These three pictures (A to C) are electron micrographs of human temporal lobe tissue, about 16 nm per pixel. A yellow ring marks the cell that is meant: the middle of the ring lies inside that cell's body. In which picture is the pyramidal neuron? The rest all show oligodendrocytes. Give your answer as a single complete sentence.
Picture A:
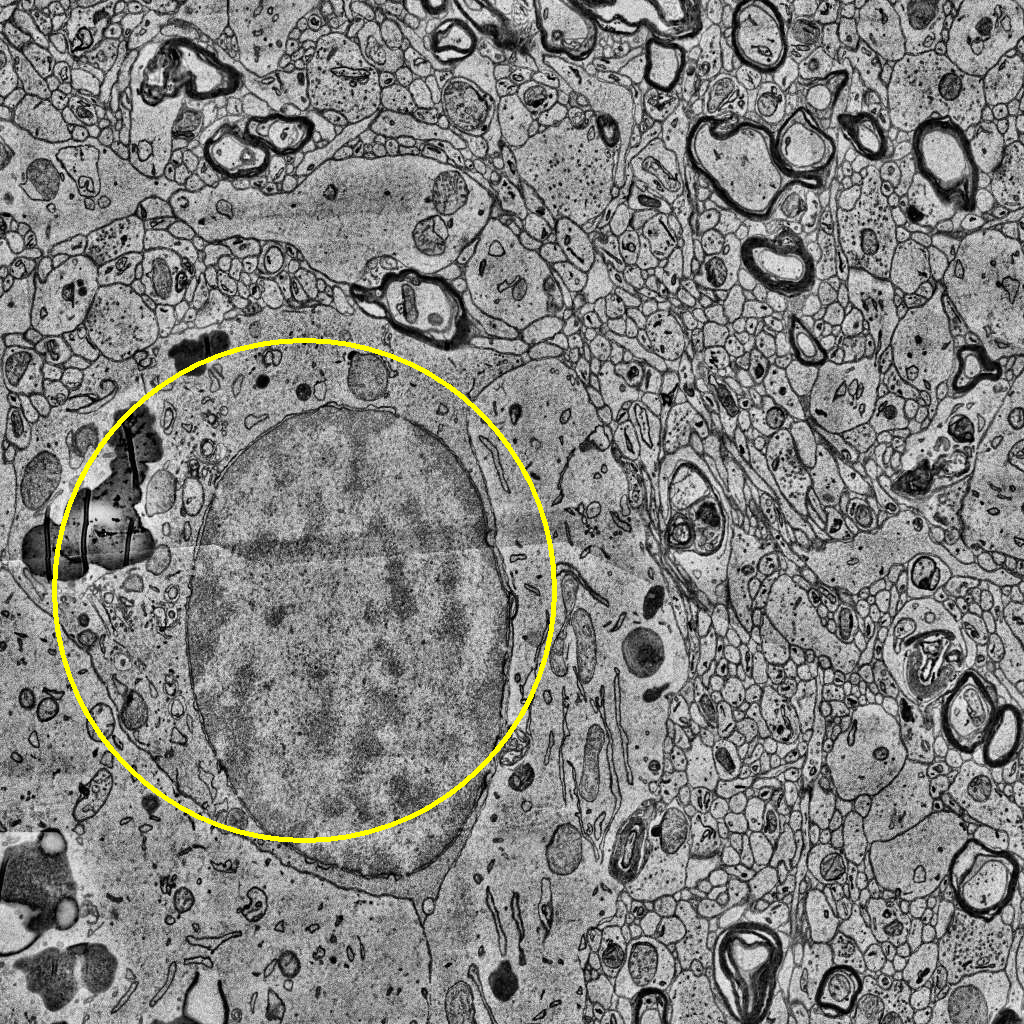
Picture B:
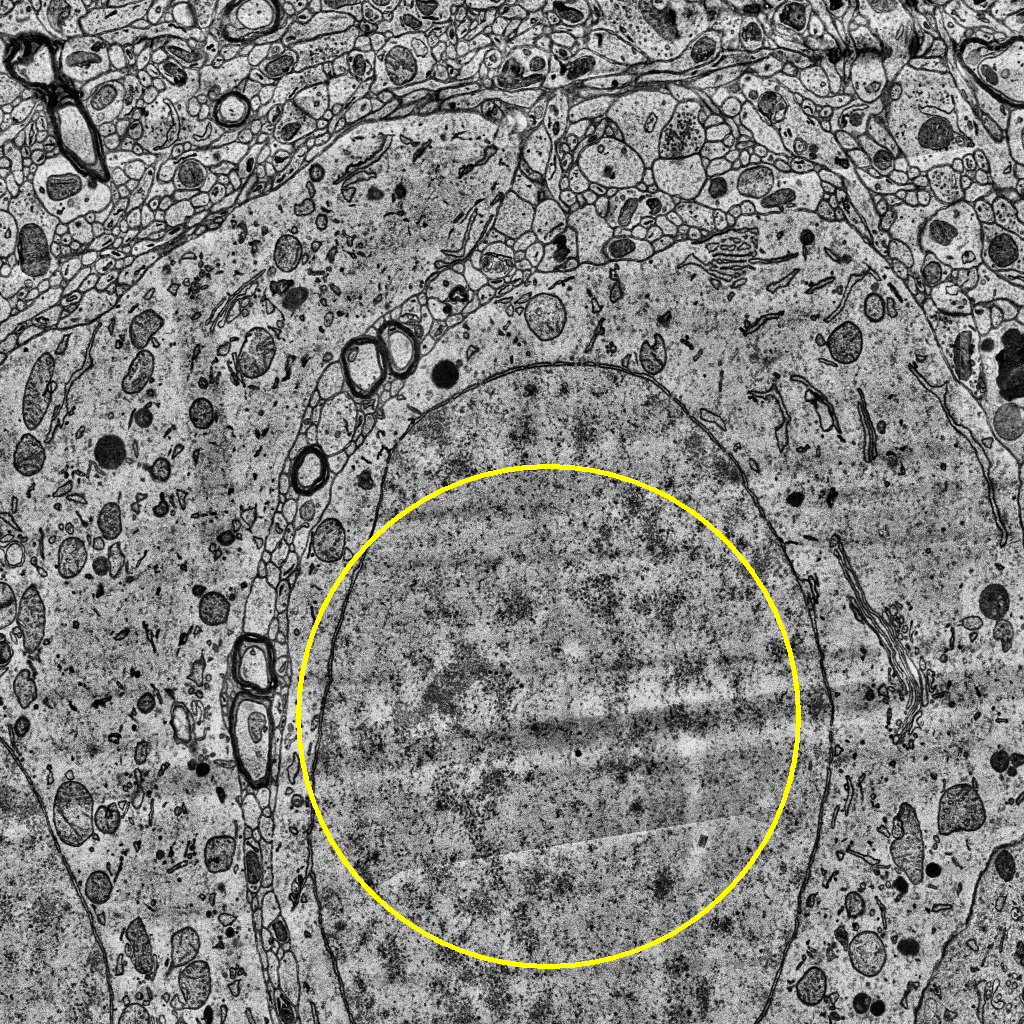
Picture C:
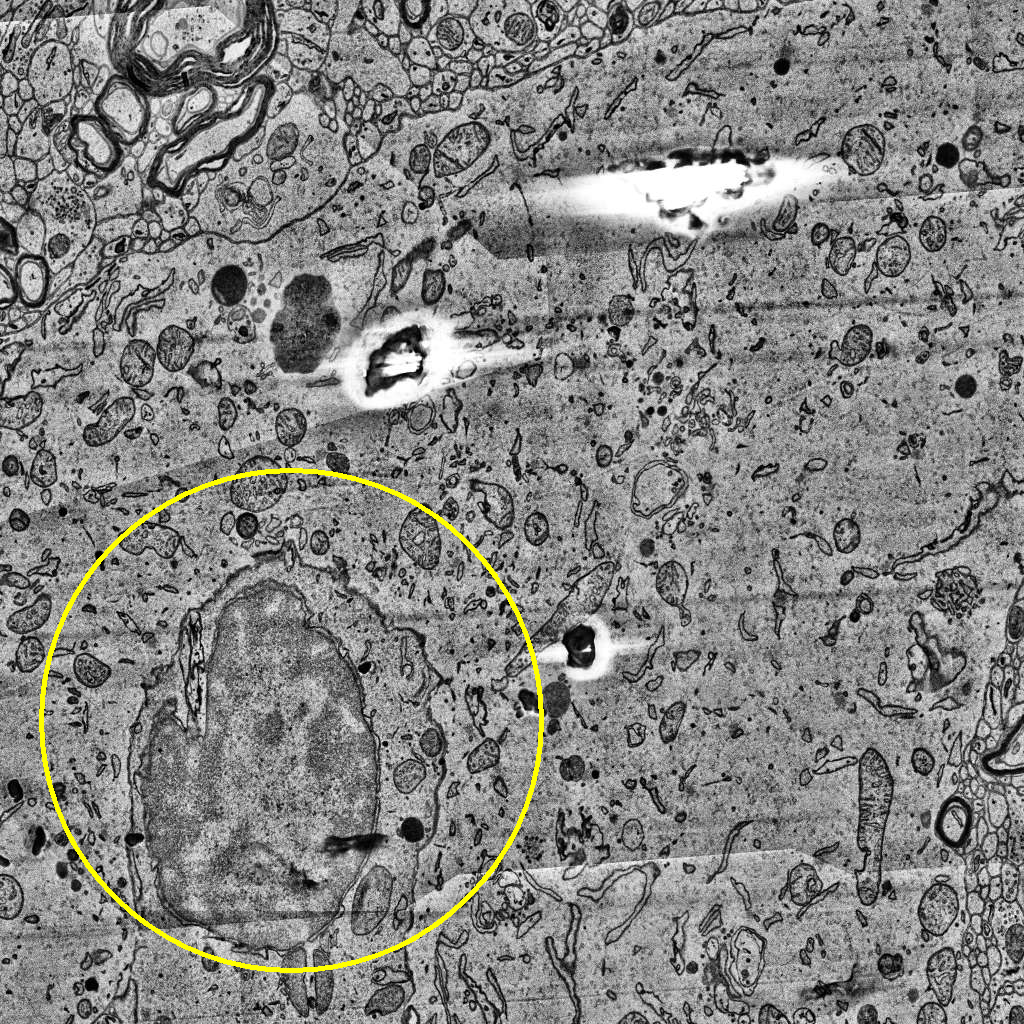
Picture B is the one that shows the pyramidal neuron.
